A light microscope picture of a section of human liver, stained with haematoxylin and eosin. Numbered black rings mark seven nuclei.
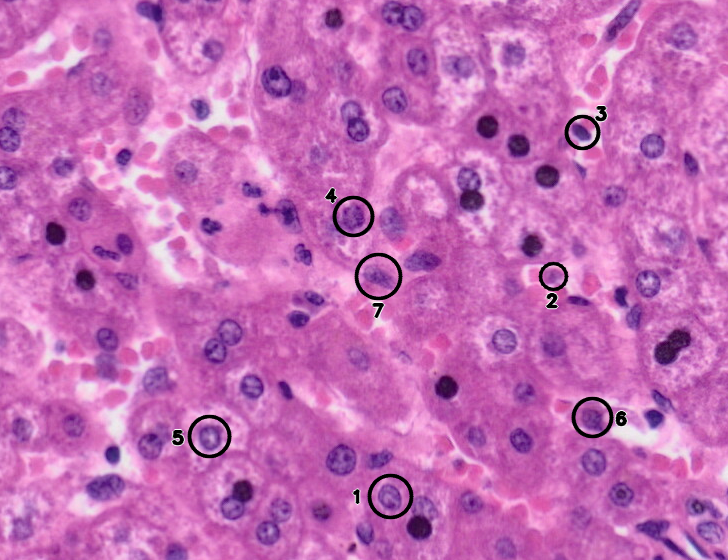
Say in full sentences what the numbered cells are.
Cell 1 is a hepatocyte, cell 2 is a Kupffer cell, cell 3 is a lymphocyte, cell 4 is a hepatocyte, cell 5 is a hepatocyte, cell 6 is a Kupffer cell and cell 7 is a fibroblast or stellate cell.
